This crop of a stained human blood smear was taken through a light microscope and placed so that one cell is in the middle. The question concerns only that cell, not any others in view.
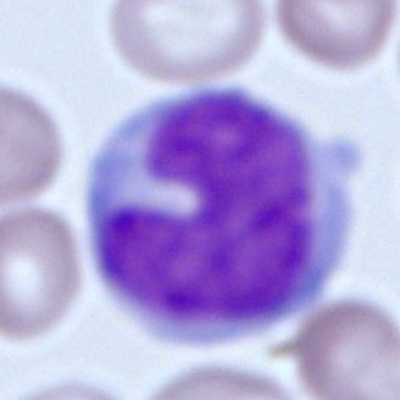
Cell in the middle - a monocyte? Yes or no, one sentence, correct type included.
Yes, the central cell of this crop corresponds to a monocyte.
